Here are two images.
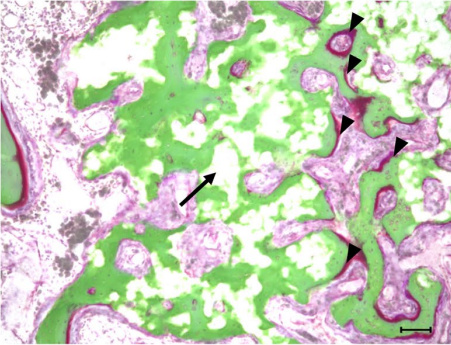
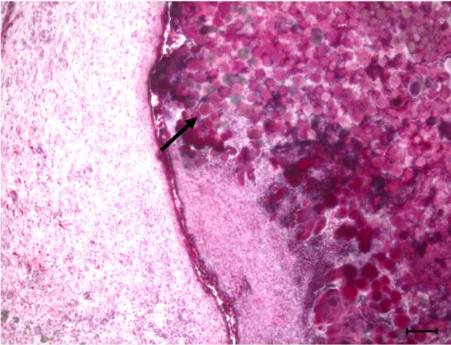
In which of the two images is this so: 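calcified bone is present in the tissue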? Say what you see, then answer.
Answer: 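The first image. First image: broad green-stained trabeculae fill much of the field. Second image: only magenta granules and pink fibrous tissue, with no green material.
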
